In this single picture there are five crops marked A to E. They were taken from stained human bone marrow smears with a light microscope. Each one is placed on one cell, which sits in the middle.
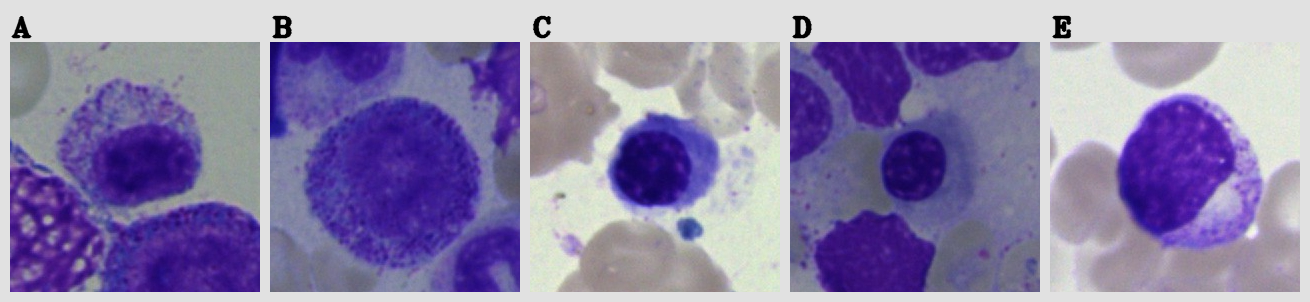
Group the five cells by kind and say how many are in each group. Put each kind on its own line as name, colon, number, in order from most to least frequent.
myelocyte: 3
erythroblast: 2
